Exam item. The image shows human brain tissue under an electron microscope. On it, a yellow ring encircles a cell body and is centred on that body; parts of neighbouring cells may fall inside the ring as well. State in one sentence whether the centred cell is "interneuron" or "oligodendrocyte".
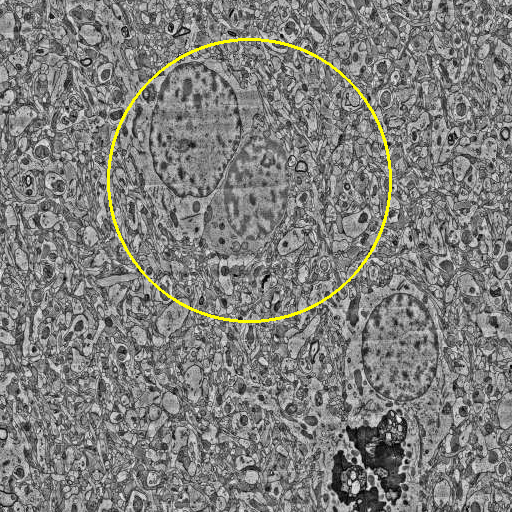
The cell body centred in the ring is an oligodendrocyte.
